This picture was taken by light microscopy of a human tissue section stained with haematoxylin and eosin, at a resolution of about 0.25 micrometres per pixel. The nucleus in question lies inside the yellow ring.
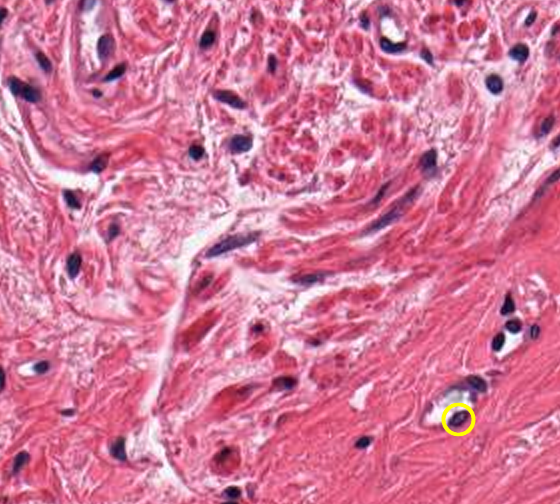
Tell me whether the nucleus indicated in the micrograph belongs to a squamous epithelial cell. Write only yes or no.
no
